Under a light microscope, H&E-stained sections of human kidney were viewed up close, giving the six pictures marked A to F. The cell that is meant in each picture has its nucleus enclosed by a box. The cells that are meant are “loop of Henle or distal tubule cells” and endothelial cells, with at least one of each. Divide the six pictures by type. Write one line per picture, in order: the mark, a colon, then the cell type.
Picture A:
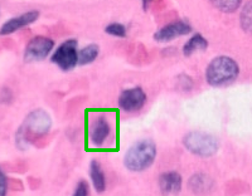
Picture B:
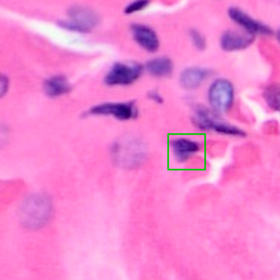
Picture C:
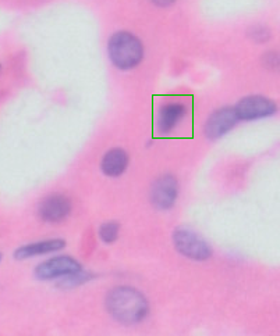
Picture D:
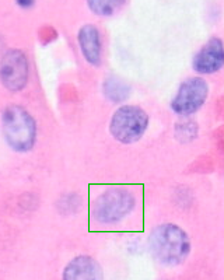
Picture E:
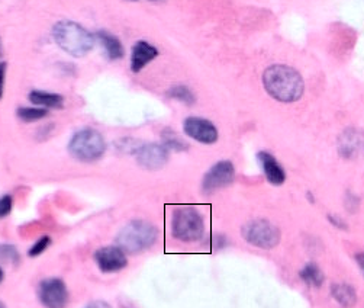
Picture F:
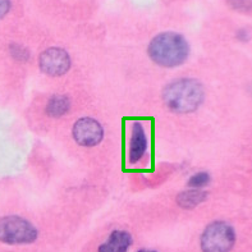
A: loop of Henle or distal tubule cell
B: endothelial cell
C: endothelial cell
D: loop of Henle or distal tubule cell
E: loop of Henle or distal tubule cell
F: endothelial cell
